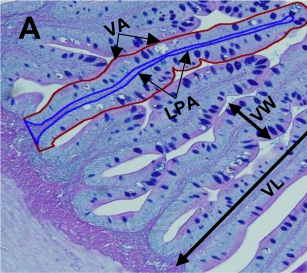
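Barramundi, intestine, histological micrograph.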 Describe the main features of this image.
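In the core of each fold lies a slender strand of loose connective tissue, the lamina propria. At the lower left, a pink-staining band of smooth muscle and connective tissue forms the base of the wall from which the folds rise.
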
